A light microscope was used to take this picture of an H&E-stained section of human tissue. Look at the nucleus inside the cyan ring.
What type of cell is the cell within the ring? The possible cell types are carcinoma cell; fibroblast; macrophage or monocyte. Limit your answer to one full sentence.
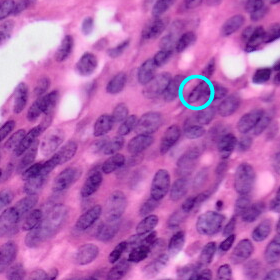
In the tissue at hand, the cell within the ring is a carcinoma cell.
